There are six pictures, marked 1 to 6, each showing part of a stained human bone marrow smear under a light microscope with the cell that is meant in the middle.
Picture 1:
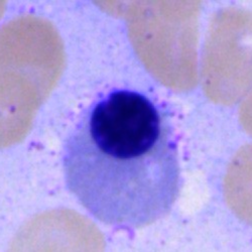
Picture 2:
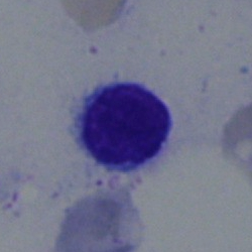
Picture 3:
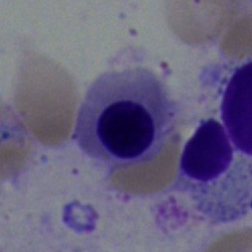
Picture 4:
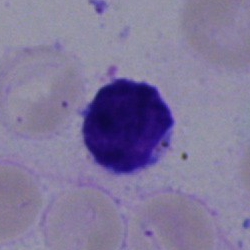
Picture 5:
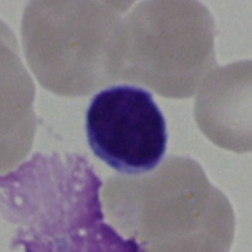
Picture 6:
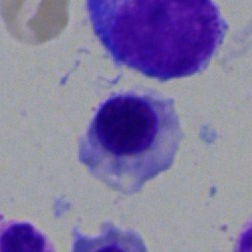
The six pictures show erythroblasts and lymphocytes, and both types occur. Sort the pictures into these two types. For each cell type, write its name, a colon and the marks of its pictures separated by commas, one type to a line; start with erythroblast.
erythroblast: 1, 3, 6
lymphocyte: 2, 4, 5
